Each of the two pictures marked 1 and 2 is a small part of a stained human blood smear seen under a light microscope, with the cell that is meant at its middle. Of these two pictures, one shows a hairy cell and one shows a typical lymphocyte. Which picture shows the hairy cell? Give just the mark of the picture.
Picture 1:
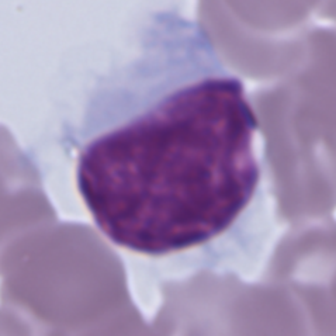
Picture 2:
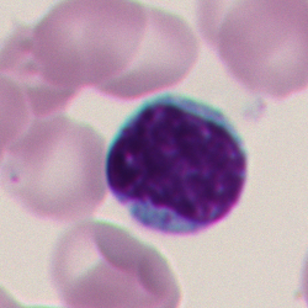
1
